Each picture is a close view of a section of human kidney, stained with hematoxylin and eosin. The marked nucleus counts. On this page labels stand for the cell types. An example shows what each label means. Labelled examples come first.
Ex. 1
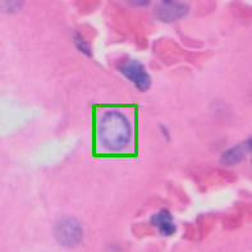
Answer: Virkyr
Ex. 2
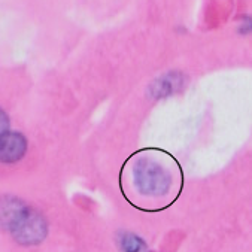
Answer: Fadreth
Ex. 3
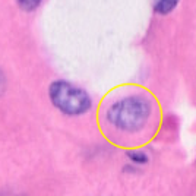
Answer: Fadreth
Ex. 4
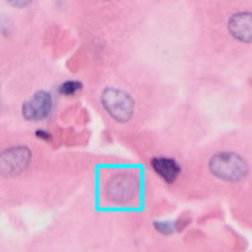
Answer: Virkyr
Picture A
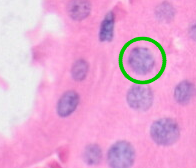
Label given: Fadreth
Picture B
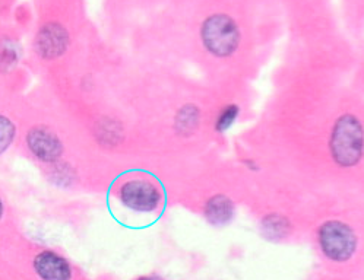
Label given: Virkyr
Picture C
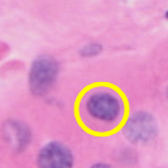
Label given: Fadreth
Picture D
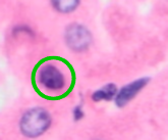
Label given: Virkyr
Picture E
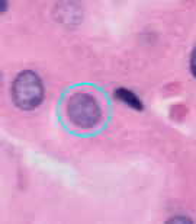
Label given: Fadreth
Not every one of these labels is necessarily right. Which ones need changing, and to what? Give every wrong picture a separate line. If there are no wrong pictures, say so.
B should be Fadreth, not Virkyr
E should be Virkyr, not Fadreth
